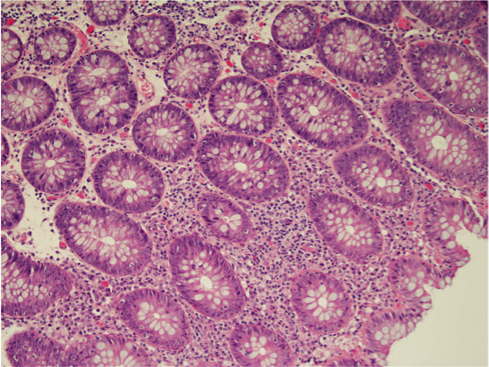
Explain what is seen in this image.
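Large bowel mucosa with round crypts in cross section, lined by columnar cells and pale goblet cells. The lamina propria between the crypts is densely cellular with small dark nuclei, and small vessels in it are distended with red blood cells.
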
